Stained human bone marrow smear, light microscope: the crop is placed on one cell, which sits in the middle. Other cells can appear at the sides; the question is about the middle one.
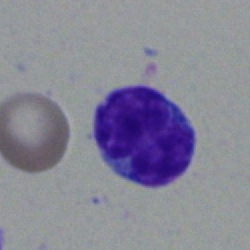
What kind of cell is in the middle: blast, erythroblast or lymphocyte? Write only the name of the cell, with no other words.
lymphocyte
